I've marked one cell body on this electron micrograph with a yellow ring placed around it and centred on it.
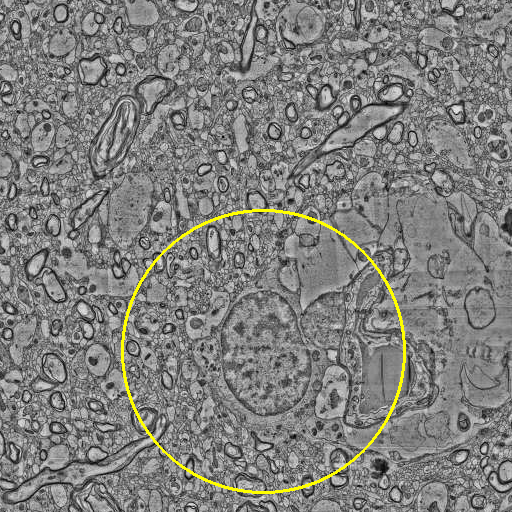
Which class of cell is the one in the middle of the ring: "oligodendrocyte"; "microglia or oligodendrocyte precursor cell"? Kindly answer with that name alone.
oligodendrocyte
